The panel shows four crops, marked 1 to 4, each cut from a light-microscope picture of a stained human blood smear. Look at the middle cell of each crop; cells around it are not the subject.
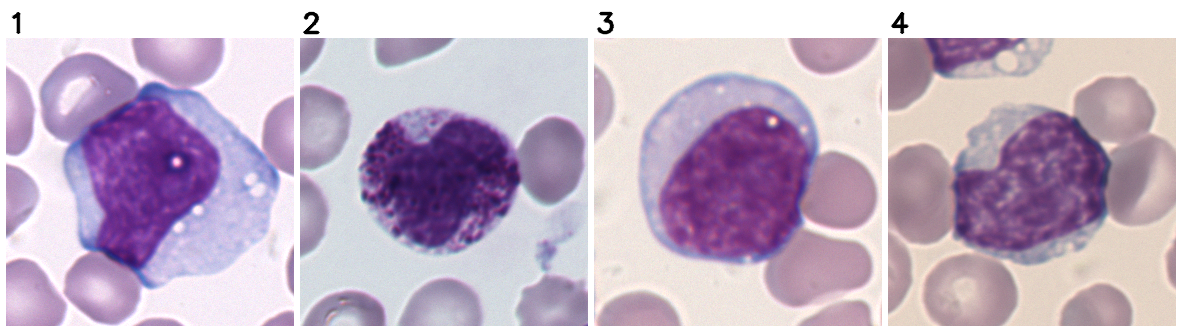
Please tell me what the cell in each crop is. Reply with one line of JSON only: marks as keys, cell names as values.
{"1": "myeloblast", "2": "basophil", "3": "myeloblast", "4": "myeloblast"}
